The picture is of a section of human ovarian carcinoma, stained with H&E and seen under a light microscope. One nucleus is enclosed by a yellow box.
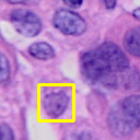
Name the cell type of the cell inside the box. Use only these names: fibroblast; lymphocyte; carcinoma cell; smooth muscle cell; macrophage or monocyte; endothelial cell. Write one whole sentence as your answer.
The expected answer is simply that the cell inside the box is a macrophage or monocyte.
